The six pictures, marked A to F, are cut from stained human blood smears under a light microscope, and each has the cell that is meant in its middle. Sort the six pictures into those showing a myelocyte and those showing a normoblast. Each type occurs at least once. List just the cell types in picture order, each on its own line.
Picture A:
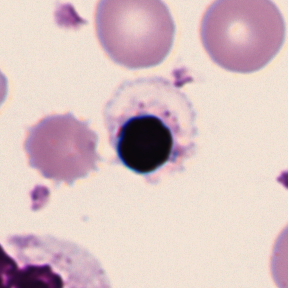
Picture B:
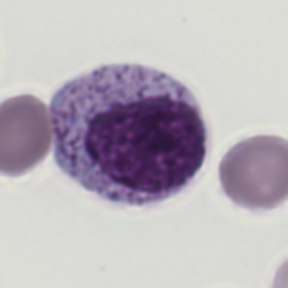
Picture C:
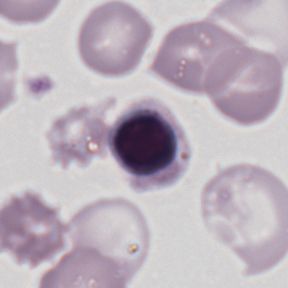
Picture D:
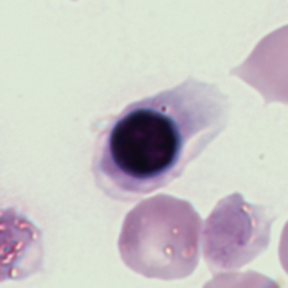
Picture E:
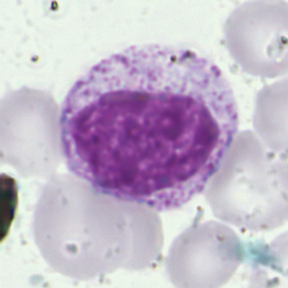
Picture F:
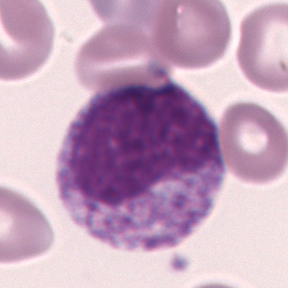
normoblast
myelocyte
normoblast
normoblast
myelocyte
myelocyte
